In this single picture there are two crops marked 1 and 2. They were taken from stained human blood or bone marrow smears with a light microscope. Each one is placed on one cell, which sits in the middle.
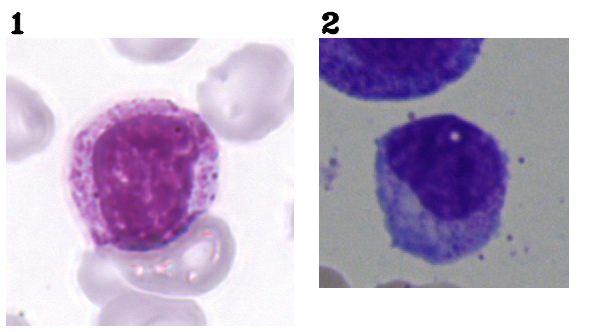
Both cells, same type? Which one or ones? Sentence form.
Yes, both crops contain myelocytes at their centres.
